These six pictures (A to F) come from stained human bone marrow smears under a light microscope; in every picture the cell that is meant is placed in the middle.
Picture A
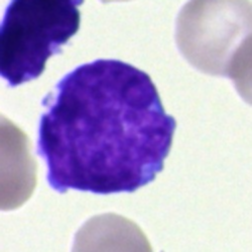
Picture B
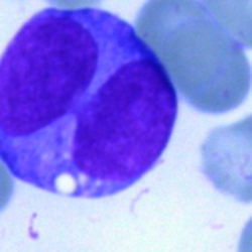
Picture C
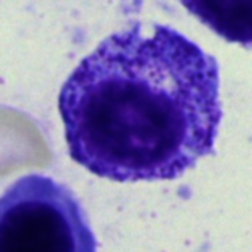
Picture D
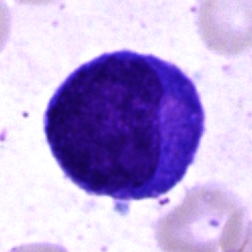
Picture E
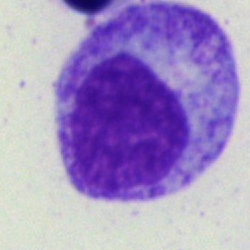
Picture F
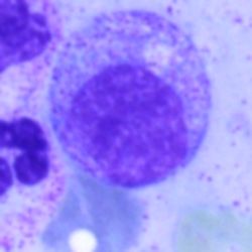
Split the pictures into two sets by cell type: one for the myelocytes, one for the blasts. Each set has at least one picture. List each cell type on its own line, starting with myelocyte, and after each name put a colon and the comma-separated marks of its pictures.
myelocyte: C, E, F
blast: A, B, D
